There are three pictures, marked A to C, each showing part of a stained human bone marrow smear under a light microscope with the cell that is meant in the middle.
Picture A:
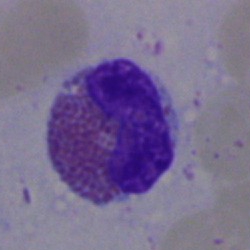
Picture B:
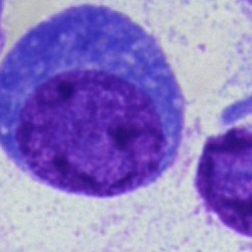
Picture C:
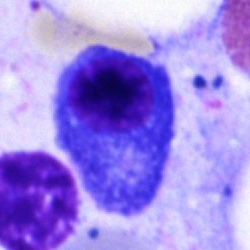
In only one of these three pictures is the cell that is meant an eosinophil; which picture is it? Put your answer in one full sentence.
Picture A shows the eosinophil.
